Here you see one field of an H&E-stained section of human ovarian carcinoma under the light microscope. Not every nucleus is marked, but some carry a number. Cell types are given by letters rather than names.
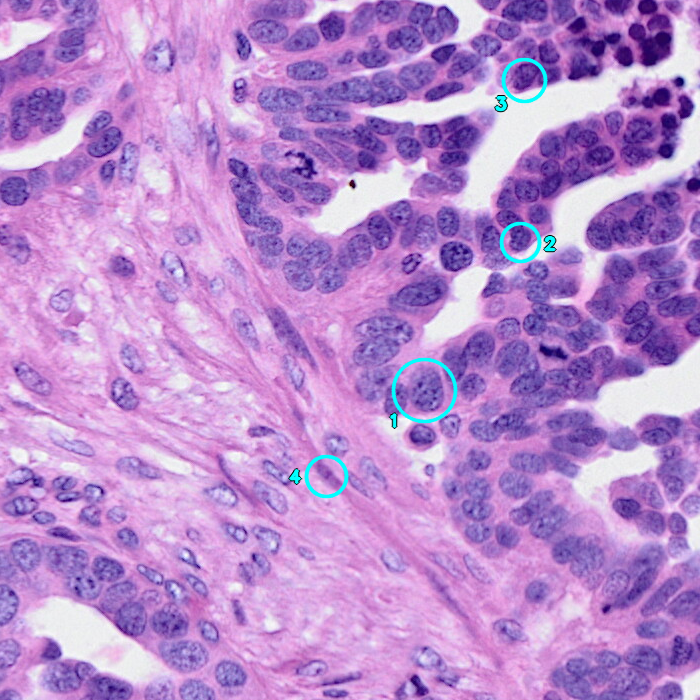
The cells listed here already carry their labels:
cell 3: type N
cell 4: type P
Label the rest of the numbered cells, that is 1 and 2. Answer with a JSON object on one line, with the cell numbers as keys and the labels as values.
{"1": "type N", "2": "type N"}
